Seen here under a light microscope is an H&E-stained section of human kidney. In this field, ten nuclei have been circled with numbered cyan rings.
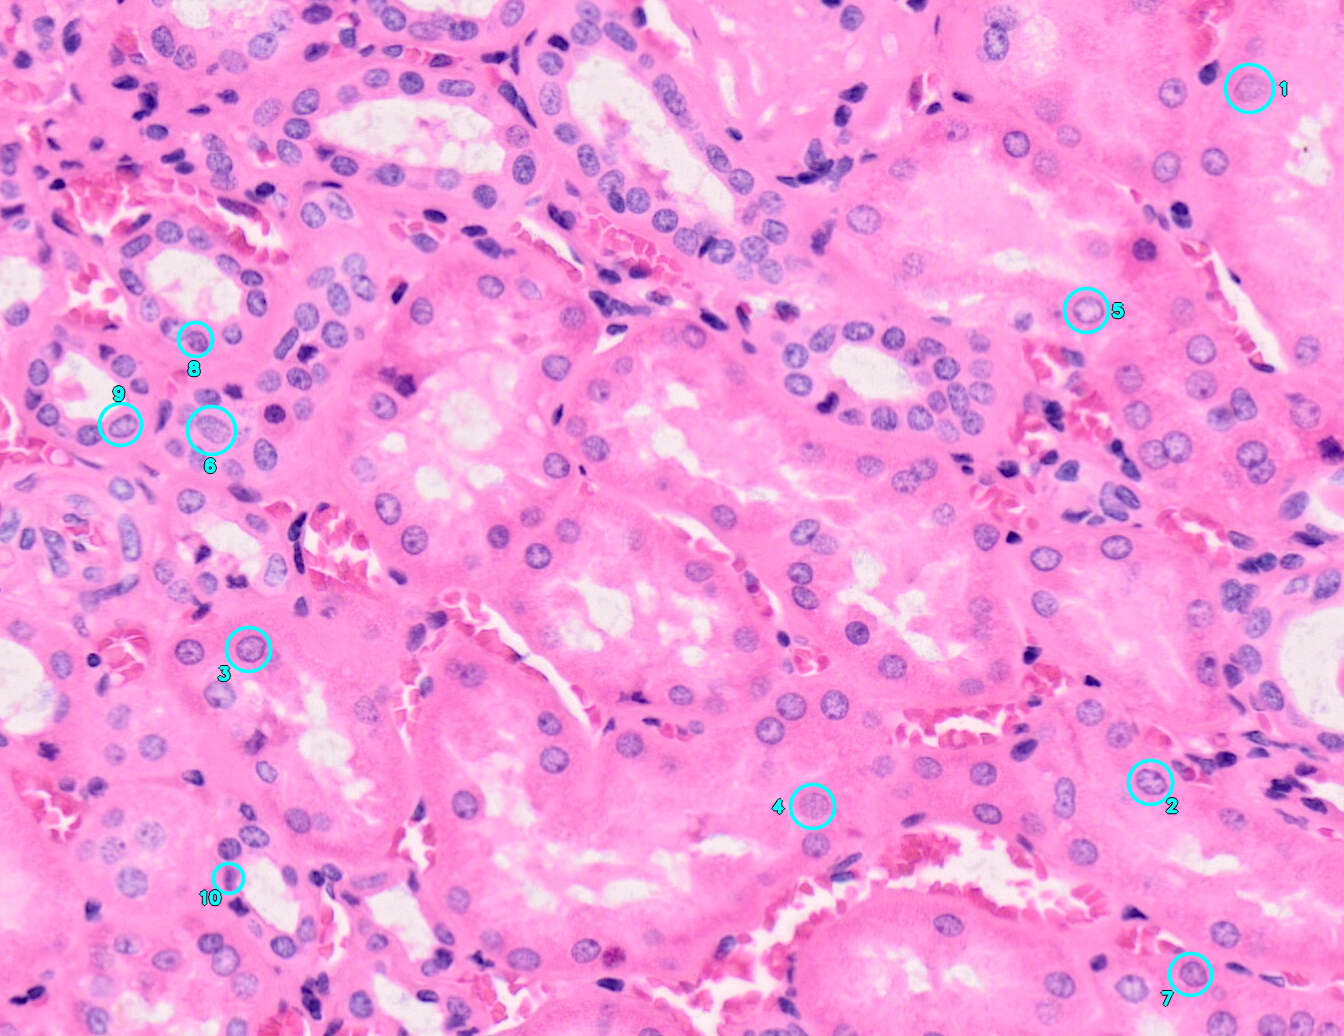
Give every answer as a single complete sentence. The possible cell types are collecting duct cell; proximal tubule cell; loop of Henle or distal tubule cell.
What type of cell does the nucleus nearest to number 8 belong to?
The nucleus nearest to number 8 is that of a collecting duct cell.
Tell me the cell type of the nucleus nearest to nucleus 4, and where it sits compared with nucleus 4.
Just below nucleus 4 lies the nearest nucleus, which belongs to a proximal tubule cell.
